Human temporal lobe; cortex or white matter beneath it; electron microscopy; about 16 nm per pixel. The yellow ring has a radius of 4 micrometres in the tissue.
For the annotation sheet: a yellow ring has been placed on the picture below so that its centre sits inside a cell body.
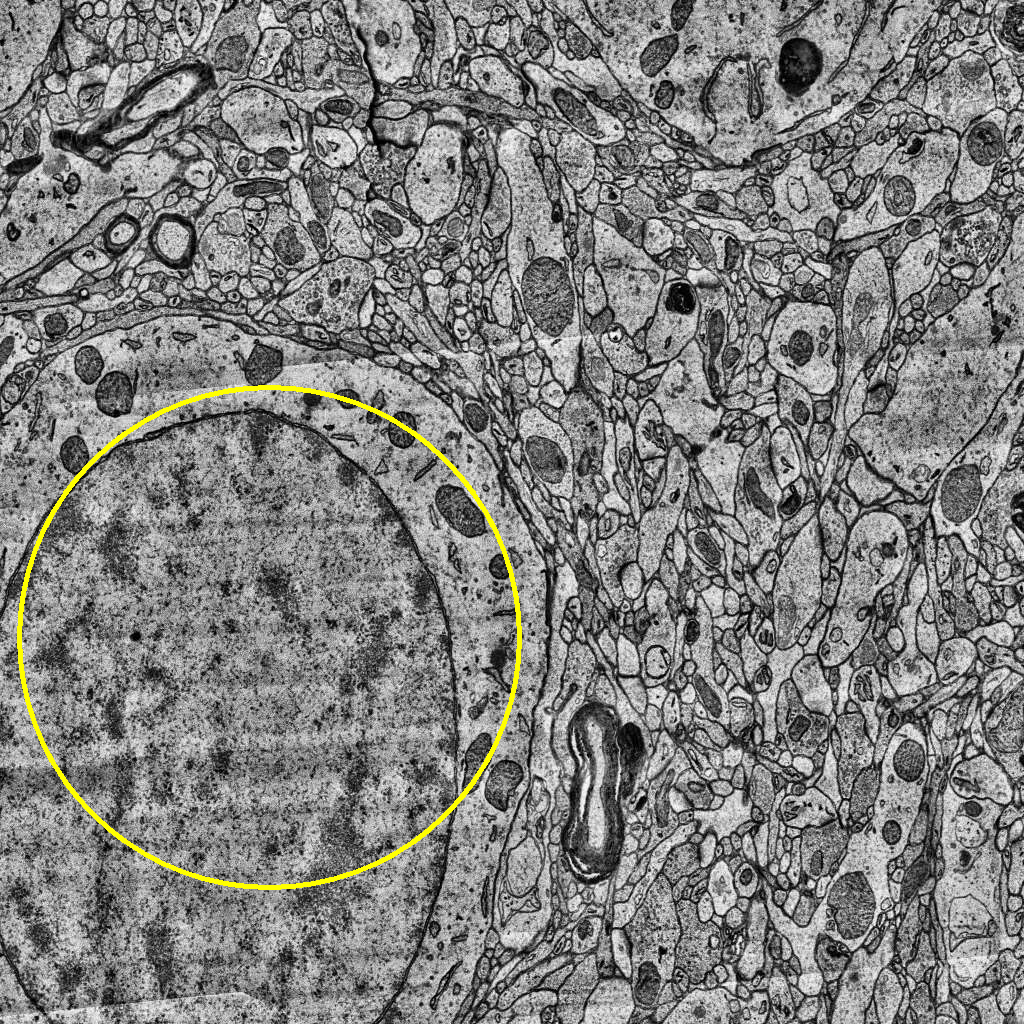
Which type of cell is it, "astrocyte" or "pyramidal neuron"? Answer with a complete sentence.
The cell at the ring's centre is a pyramidal neuron.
